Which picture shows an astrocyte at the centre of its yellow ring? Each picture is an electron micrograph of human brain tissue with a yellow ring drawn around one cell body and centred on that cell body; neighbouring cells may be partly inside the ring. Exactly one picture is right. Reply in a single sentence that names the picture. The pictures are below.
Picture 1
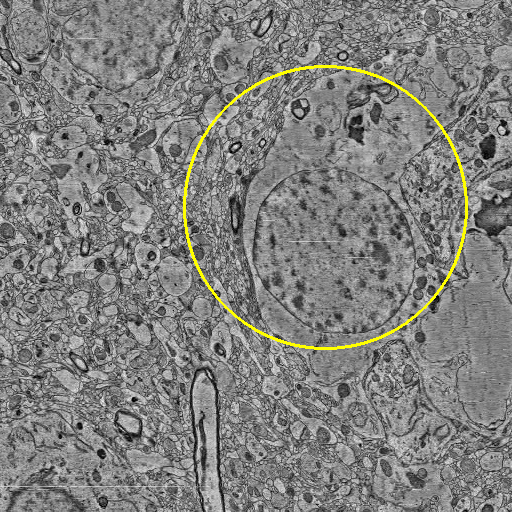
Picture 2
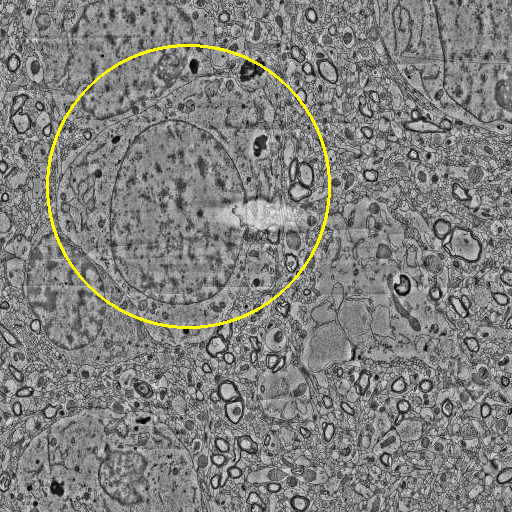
Picture 1 shows it.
